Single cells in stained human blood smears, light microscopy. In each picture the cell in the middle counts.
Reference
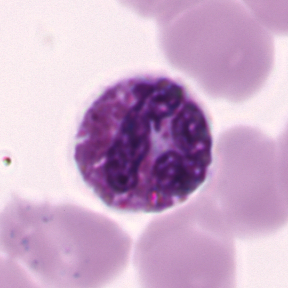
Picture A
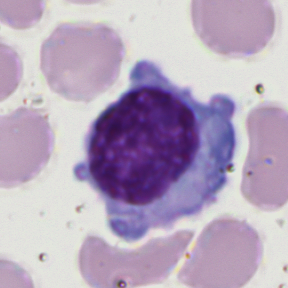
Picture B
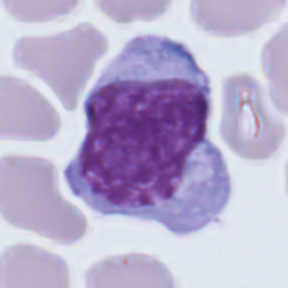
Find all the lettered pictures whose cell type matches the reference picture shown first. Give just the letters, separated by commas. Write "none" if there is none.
none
